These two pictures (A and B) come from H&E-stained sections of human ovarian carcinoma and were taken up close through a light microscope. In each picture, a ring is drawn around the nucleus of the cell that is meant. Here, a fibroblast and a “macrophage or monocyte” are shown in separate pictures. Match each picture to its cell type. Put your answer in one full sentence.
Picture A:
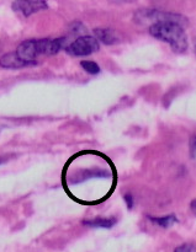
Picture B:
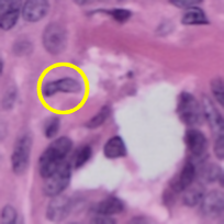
Picture A shows a fibroblast and picture B shows a “macrophage or monocyte”.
